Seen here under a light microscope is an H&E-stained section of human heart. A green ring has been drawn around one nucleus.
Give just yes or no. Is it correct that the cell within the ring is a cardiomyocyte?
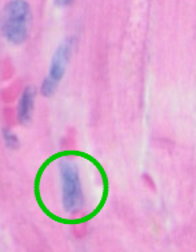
no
